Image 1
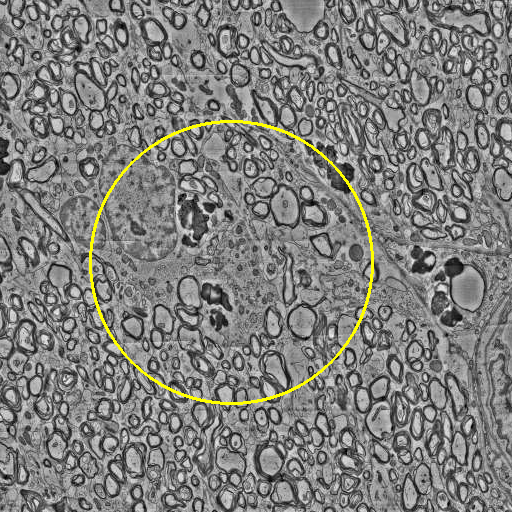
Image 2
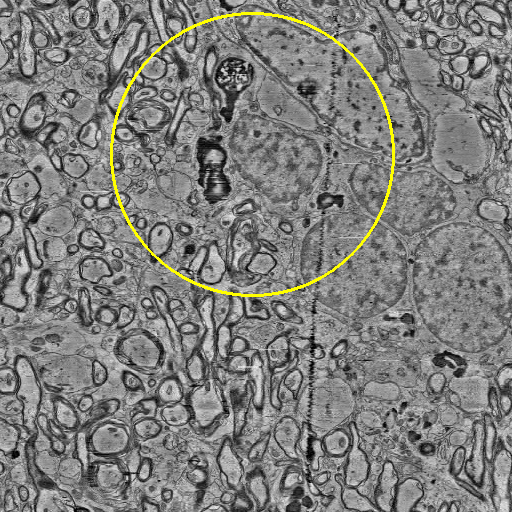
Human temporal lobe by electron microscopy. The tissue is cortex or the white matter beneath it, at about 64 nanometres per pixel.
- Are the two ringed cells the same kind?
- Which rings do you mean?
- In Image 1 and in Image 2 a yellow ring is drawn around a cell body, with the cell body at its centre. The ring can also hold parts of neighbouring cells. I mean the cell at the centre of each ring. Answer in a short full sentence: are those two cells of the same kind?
Yes, both cells are of the same kind.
